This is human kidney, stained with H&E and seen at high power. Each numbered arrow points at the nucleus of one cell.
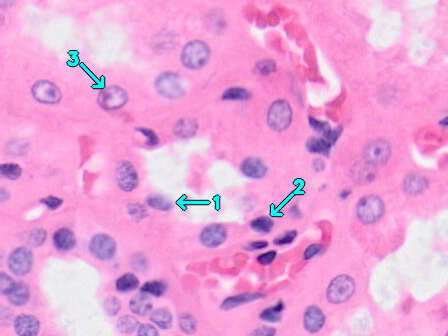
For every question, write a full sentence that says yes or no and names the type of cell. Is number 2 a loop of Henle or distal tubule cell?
Yes, the cell that goes by number 2 is a loop of Henle or distal tubule cell.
